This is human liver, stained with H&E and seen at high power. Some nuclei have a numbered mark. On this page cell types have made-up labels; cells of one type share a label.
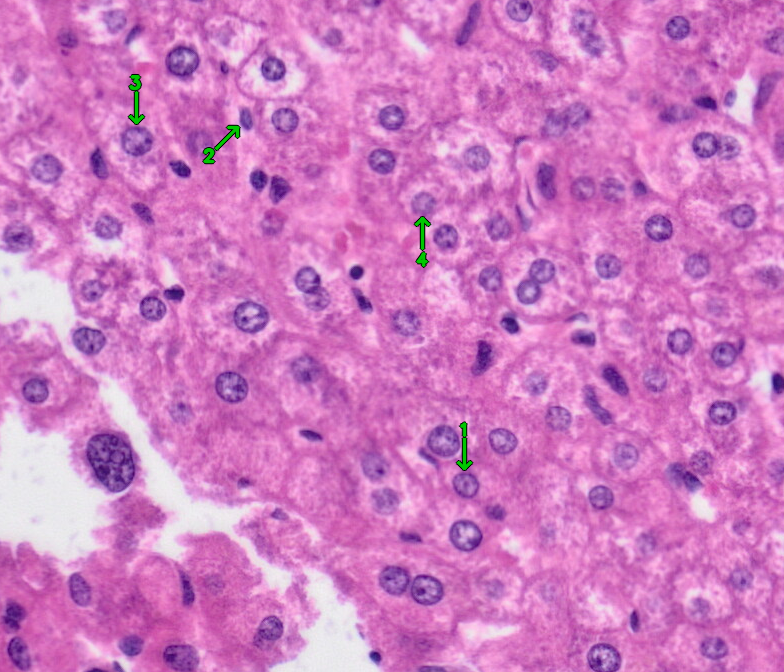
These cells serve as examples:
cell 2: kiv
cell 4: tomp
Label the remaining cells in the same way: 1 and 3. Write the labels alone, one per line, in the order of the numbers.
tomp
tomp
